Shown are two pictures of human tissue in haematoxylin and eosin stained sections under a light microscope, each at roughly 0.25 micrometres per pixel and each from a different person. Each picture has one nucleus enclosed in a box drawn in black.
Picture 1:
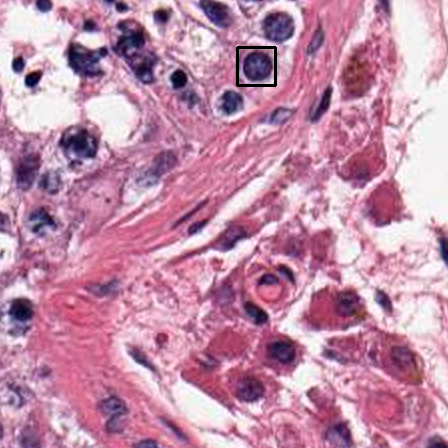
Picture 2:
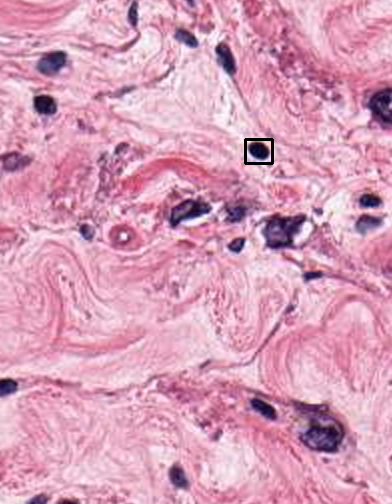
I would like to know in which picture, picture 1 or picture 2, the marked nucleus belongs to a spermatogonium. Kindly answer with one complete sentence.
As for picture 1, its marked nucleus belongs to a spermatogonium.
